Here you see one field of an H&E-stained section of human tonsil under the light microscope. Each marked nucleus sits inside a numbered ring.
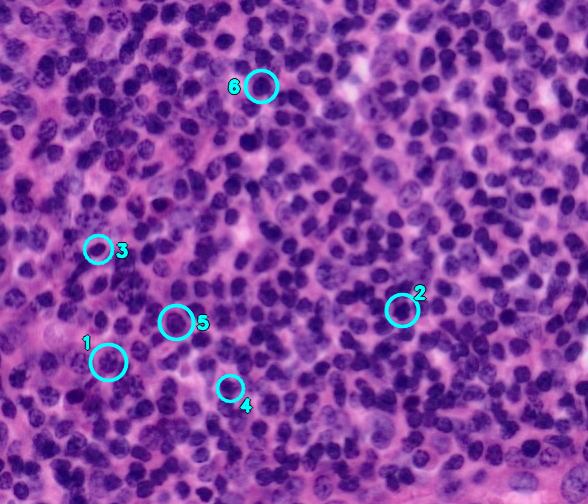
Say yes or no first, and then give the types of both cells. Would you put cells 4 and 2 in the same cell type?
Yes, cells 4 and 2 both fall under small lymphocytes.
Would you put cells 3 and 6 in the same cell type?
Yes, cell 3 and likewise cell 6 are small lymphocytes.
